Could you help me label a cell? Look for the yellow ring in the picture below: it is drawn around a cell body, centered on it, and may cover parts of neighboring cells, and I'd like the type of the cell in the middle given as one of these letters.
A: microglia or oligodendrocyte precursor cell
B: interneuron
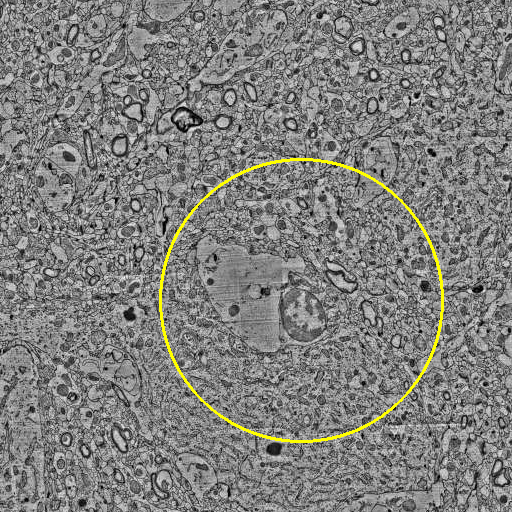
A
